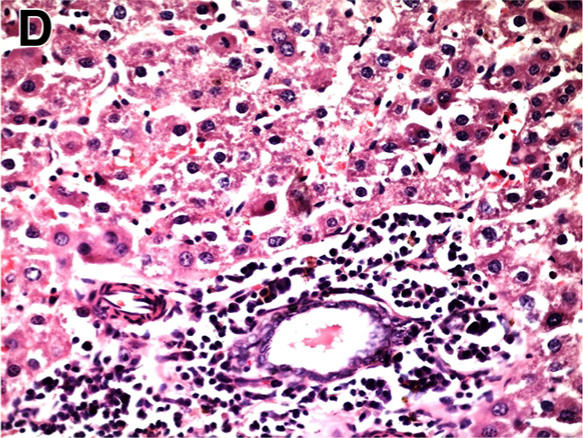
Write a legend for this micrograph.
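Liver tissue with a portal area at the bottom surrounded by a dense perivascular leukocyte infiltration. Above, the hepatocytes are large polygonal cells with pink, granular, somewhat mottled cytoplasm and round central nuclei with visible nucleoli; some show paler, cleared cytoplasm. The sinusoids between the plates are irregular and in places dilated, with small elongated lining-cell nuclei along them.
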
